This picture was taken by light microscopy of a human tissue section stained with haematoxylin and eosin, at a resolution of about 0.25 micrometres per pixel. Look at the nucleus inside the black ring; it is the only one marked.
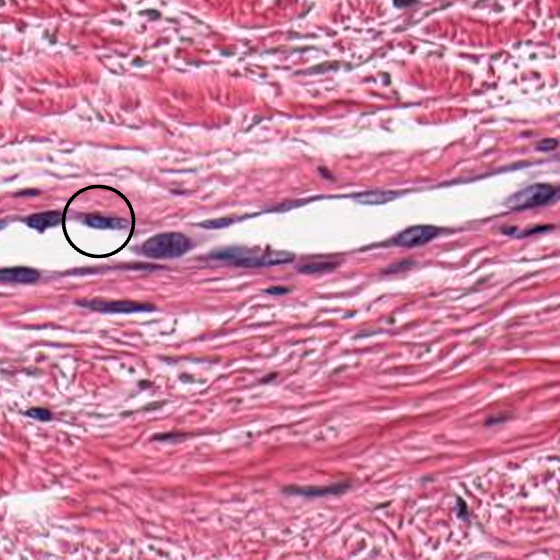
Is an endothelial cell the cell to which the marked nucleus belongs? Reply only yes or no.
yes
